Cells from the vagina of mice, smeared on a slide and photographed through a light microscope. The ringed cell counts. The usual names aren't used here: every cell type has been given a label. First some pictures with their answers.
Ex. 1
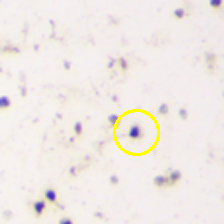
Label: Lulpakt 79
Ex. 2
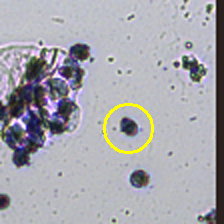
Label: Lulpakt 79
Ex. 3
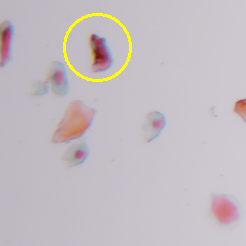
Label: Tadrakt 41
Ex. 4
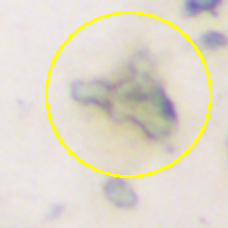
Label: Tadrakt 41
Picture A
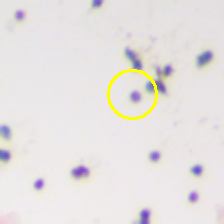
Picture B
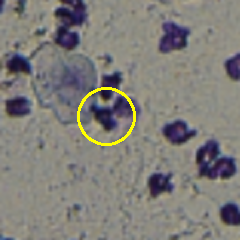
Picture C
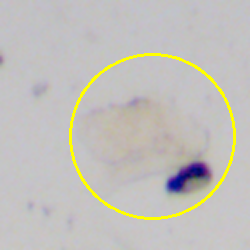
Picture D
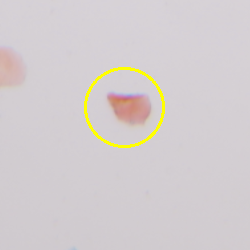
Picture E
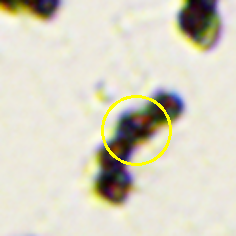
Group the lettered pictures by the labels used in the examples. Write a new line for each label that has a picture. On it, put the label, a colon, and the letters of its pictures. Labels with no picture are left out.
Lulpakt 79: A, B, E
Tadrakt 41: C, D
